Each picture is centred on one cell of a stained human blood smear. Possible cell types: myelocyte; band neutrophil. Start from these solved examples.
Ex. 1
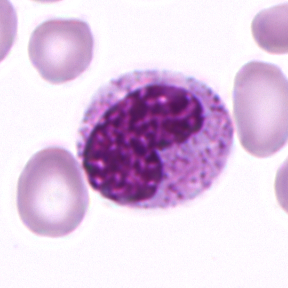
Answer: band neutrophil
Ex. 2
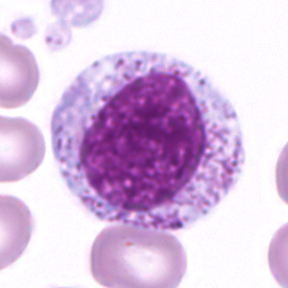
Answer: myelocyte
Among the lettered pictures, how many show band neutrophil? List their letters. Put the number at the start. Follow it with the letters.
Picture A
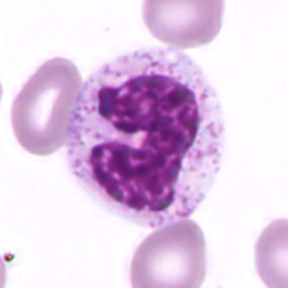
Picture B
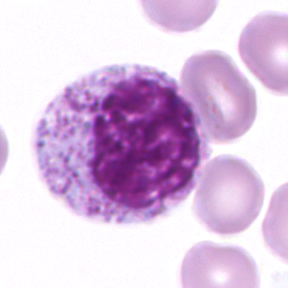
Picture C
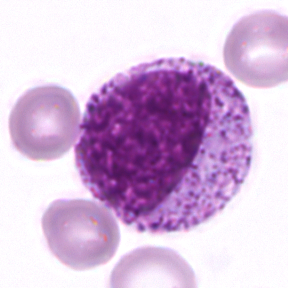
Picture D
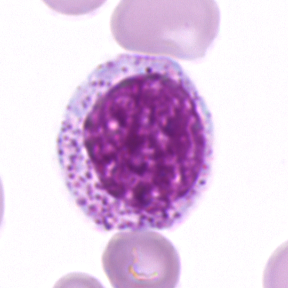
1, namely A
